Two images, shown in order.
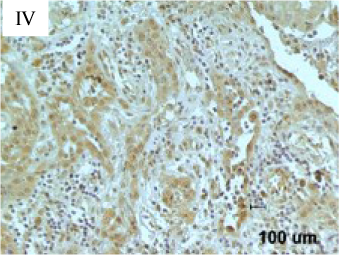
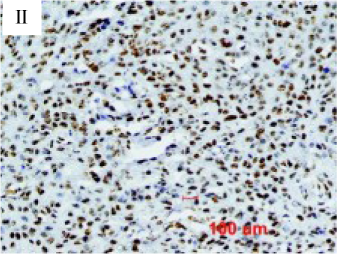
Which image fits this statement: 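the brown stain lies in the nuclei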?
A: The second image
